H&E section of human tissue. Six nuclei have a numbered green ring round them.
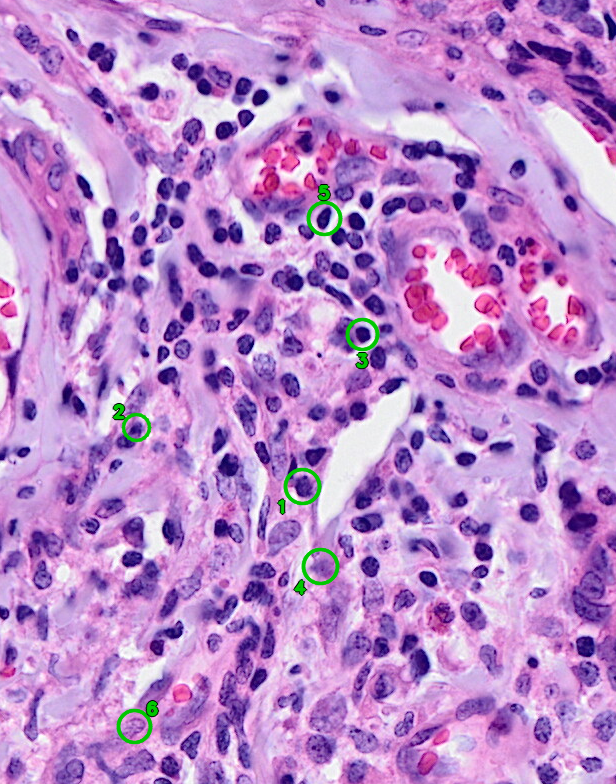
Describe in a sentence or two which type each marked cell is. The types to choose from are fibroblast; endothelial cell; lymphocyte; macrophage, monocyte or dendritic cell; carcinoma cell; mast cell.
Cells 1, 2, 3 and 5 are lymphocytes. Cell 4 is a macrophage, monocyte or dendritic cell. Cell 6 is an endothelial cell.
